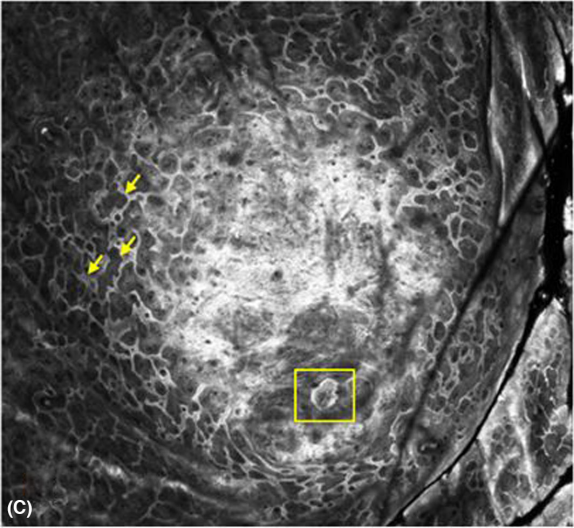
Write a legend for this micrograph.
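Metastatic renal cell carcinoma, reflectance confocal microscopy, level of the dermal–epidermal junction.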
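Around the periphery a network of bright rings encircles rounded dark spaces, giving a meshwork of polygonal outlines. Toward the centre the network gives way to a bright, hazy refractile area sprinkled with small dark dots. Long dark lines curve across the right side of the field, and the lower right corner shows separate patches of the ringed network.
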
